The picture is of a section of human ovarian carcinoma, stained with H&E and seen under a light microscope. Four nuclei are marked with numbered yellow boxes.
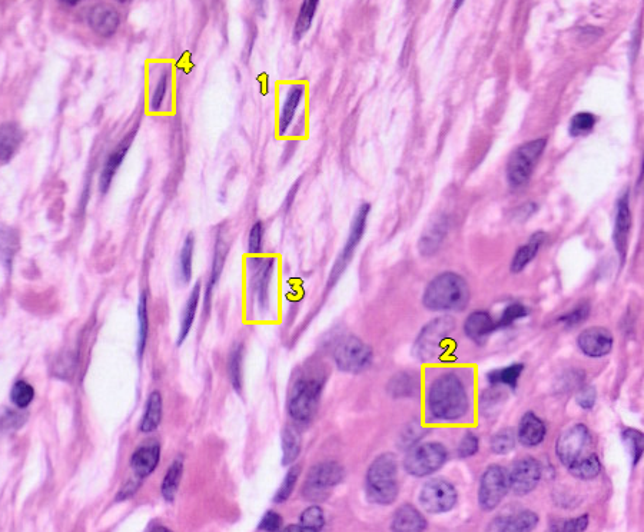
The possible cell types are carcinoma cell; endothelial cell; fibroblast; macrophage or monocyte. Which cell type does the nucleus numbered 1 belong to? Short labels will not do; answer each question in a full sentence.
Cell 1, as marked in the section, is a fibroblast.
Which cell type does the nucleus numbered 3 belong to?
Number 3 among the marked cells is a fibroblast.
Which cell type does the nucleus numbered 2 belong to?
Among the marked cells, number 2 is a carcinoma cell.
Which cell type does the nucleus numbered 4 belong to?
At number 4, the marked cell is a fibroblast.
